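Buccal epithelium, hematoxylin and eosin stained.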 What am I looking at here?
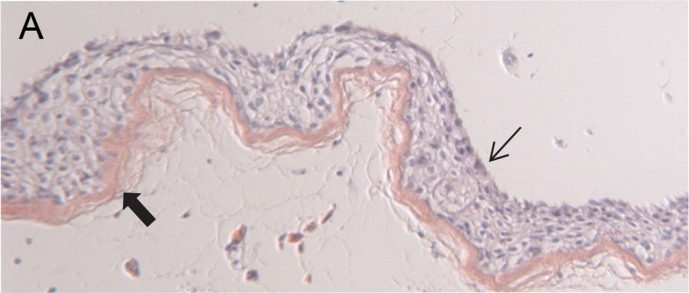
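The cells carry round to oval purple nuclei and pale cytoplasm; toward the free surface they become flatter and more elongated, while deeper cells are plumper and more crowded. Scattered among them are a few larger, rounded pale cells. Beneath the cell layers runs a continuous pink, wavy band of fibrous collagen marking the border with the underlying tissue, and below that lies loose, pale connective tissue with sparse cells. The whole surface is folded into gentle ridges.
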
